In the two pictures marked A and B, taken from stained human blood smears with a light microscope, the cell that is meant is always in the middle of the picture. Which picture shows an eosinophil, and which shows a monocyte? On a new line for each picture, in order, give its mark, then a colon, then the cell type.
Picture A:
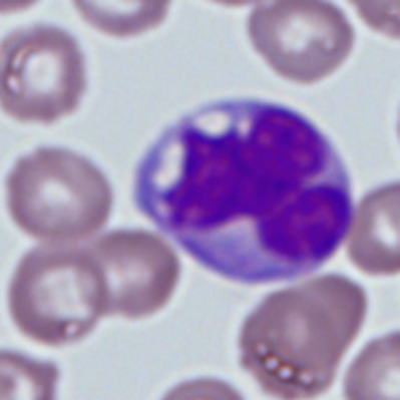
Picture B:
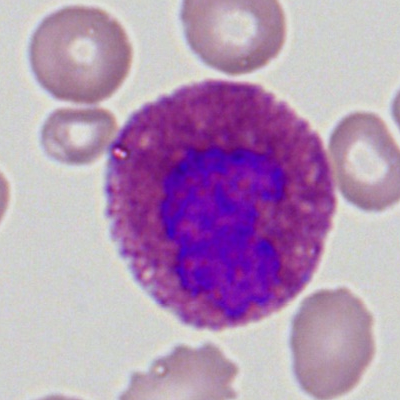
A: monocyte
B: eosinophil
